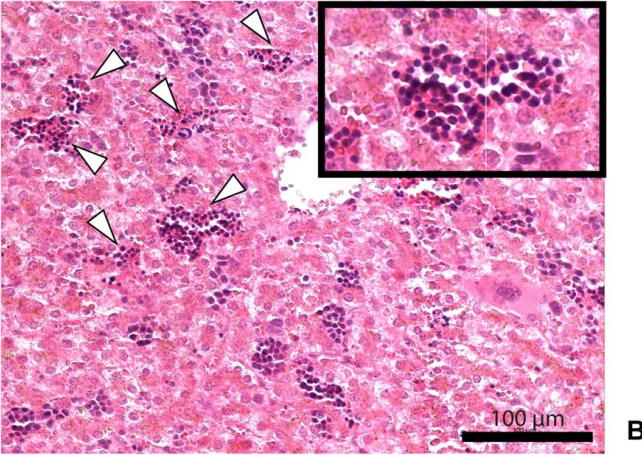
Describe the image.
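Hepatic parenchyma in which large polygonal hepatocytes with pink cytoplasm and round central nuclei are interrupted by numerous extramedullary hematopoietic clusters. These clusters consist of tightly packed small round cells with dense dark purple nuclei and scant cytoplasm, lying between the hepatocyte plates and in places merging into larger groups. A small vessel lumen is seen near the centre of the field.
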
